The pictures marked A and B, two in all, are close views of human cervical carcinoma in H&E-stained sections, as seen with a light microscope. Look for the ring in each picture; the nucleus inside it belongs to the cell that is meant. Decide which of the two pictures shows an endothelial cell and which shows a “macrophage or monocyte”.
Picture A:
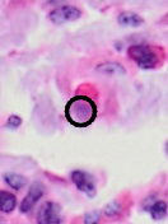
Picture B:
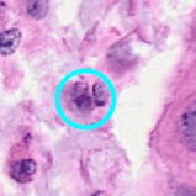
A: endothelial cell
B: macrophage or monocyte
